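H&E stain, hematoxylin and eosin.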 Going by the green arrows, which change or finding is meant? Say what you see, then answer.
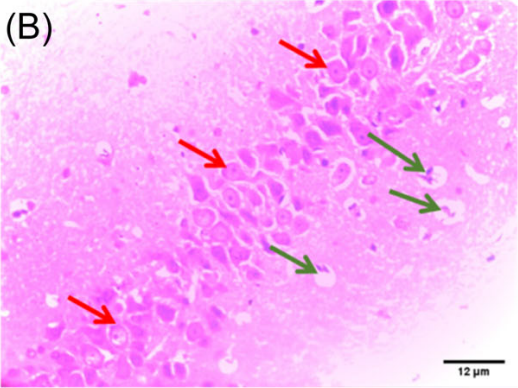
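The green arrows point to clear, empty-looking rounded spaces. On this evidence: vacuolization.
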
